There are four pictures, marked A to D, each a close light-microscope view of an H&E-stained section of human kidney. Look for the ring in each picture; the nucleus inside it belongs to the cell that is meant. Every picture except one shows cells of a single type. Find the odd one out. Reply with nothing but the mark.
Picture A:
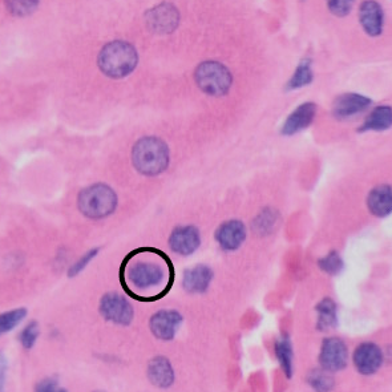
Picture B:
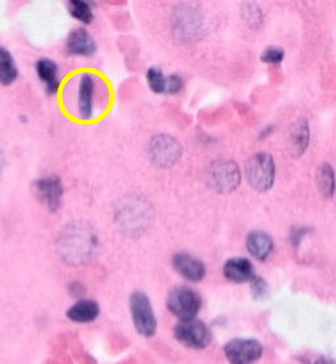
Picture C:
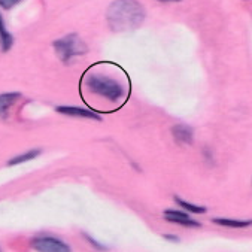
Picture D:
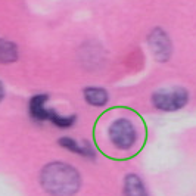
B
